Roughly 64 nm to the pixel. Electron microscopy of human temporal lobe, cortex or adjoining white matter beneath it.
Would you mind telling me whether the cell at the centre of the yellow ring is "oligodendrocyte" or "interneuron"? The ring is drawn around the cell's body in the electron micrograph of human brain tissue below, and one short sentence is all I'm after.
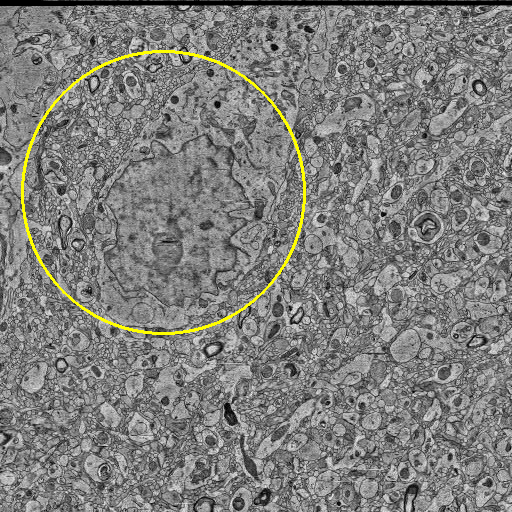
In the centre of the ring lies an interneuron.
